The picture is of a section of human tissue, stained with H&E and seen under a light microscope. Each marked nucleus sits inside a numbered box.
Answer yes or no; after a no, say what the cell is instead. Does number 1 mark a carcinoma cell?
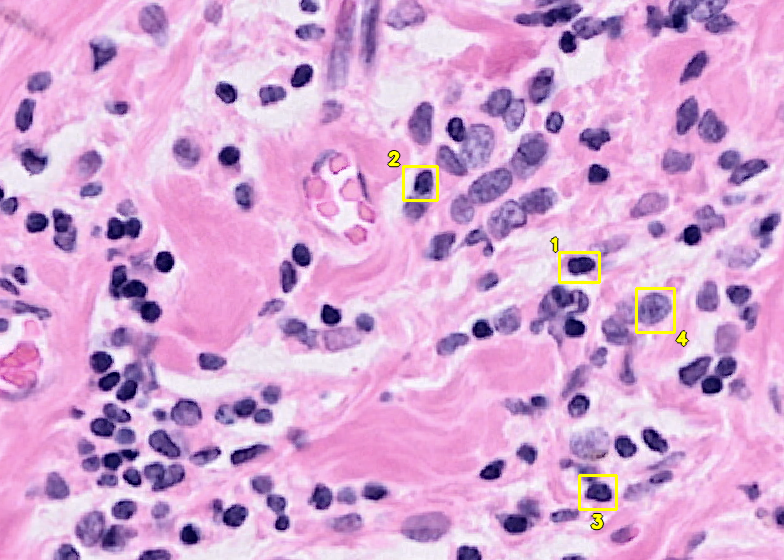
No, it is a lymphocyte.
